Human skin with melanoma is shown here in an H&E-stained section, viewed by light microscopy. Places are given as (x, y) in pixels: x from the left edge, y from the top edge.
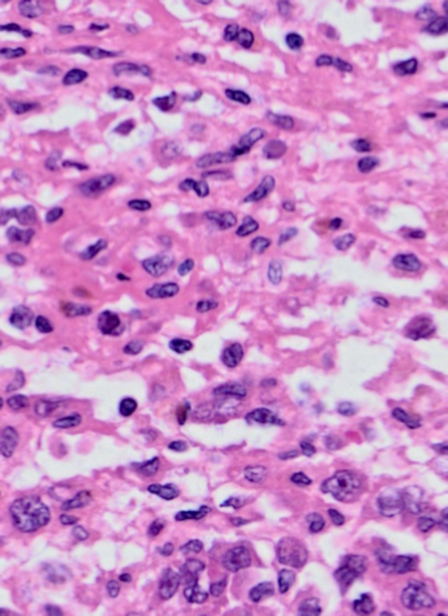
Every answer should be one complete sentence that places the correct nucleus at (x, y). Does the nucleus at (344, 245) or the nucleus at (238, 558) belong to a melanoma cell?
Of the two nuclei, the nucleus belonging to a melanoma cell is located at (238, 558).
